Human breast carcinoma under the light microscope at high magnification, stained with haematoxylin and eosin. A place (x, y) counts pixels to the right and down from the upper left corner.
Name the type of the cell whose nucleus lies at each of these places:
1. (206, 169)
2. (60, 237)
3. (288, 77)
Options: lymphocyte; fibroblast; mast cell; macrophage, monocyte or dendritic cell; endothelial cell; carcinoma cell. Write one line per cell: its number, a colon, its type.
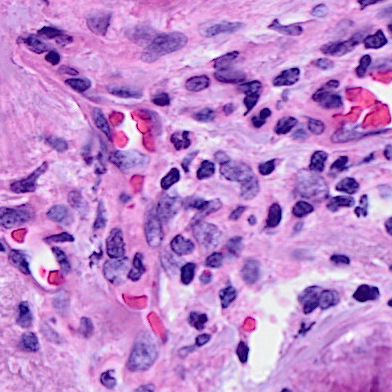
1: lymphocyte
2: endothelial cell
3: lymphocyte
